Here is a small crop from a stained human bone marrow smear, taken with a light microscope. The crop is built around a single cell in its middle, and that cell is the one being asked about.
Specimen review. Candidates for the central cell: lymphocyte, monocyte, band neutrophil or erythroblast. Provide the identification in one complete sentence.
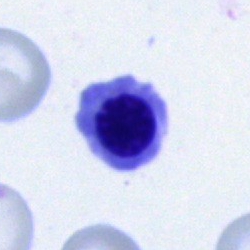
Classification of the middle cell gives an erythroblast.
